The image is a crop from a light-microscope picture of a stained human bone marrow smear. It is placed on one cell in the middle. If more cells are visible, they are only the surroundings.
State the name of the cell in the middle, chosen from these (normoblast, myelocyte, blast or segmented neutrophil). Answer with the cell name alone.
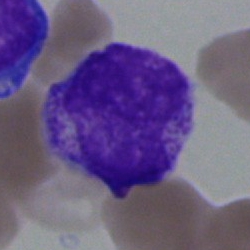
myelocyte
